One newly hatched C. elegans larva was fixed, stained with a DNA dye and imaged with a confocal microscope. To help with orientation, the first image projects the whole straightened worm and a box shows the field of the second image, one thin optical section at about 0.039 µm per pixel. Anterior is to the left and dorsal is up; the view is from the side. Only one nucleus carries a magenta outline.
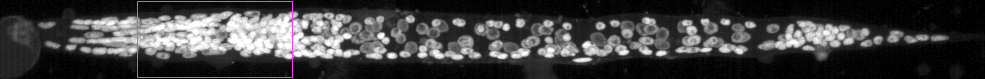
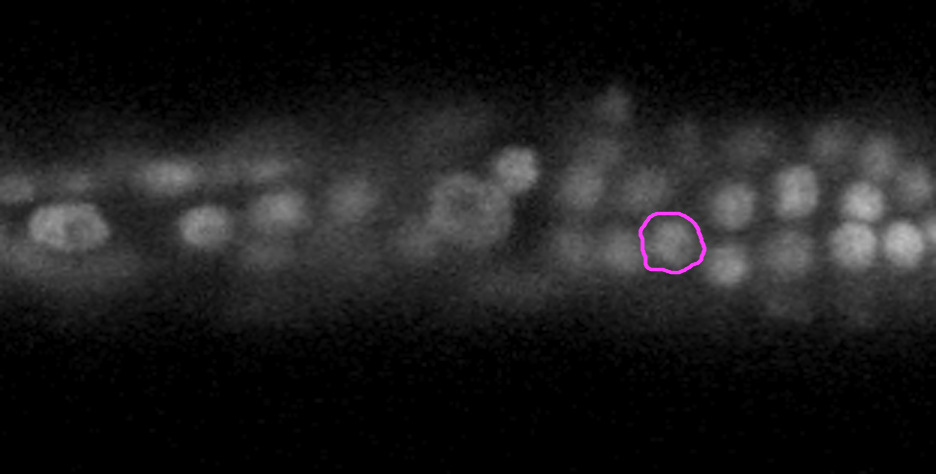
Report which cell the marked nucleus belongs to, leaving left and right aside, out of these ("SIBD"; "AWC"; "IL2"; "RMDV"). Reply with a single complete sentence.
The marked nucleus is that of AWC, a neuron.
